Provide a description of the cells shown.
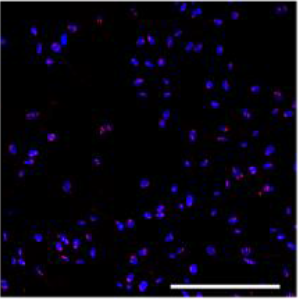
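Sparsely spread cultured cells are shown by their small oval blue nuclei, scattered singly across a dark field. The nuclei are of fairly even size and do not cluster into fibers.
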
